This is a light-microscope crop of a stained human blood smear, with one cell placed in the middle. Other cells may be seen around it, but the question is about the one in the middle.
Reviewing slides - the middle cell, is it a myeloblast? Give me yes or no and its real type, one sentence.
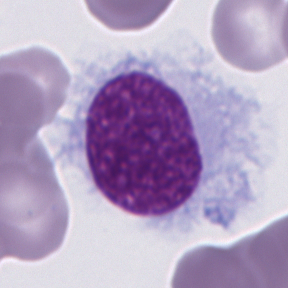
No, the central cell is not to be called a myeloblast, being a hairy cell.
